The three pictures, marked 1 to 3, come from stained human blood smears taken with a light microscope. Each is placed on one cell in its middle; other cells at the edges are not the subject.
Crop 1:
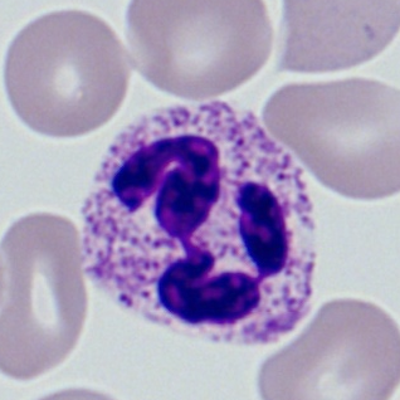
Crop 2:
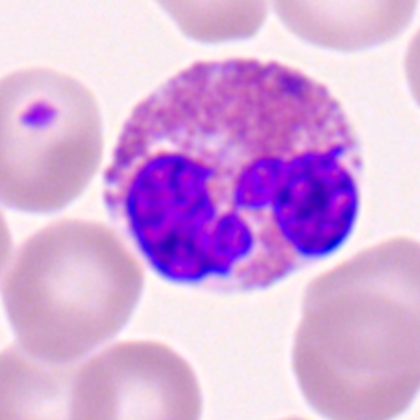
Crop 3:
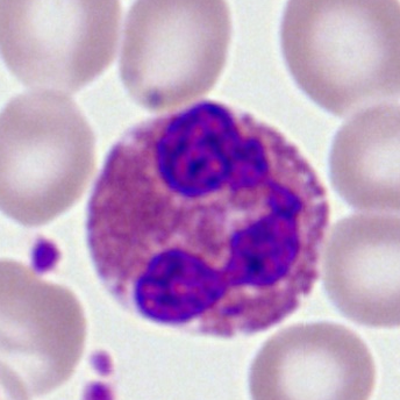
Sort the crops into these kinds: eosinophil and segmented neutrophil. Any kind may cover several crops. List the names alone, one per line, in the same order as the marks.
segmented neutrophil
eosinophil
eosinophil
